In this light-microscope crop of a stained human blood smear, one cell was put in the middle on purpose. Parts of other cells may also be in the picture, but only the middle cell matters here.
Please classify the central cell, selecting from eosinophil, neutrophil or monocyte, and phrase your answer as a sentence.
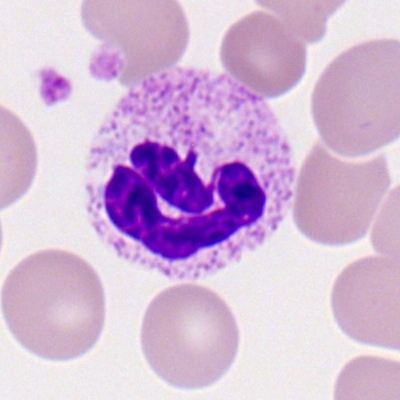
The cell in the middle of the field of view is a neutrophil.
